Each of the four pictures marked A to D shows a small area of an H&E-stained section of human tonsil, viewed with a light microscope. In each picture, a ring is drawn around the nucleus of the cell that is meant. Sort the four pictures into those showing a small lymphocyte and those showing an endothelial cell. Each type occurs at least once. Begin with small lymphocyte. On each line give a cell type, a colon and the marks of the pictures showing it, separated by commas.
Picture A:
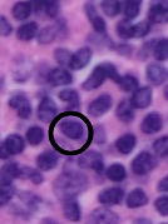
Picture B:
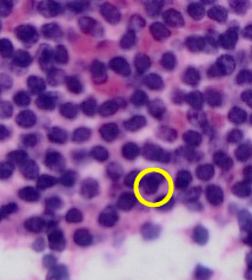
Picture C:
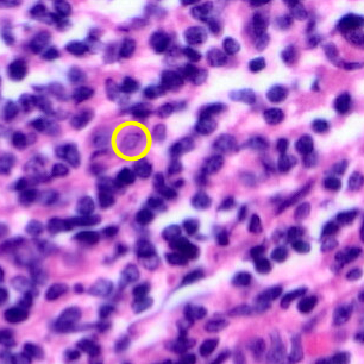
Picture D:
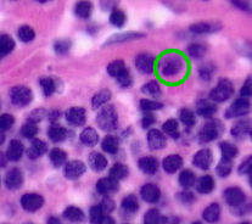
small lymphocyte: A, B
endothelial cell: C, D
